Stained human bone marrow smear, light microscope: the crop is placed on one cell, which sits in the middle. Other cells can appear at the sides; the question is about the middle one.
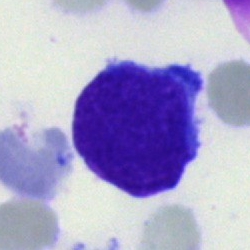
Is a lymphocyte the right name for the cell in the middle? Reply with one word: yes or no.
no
